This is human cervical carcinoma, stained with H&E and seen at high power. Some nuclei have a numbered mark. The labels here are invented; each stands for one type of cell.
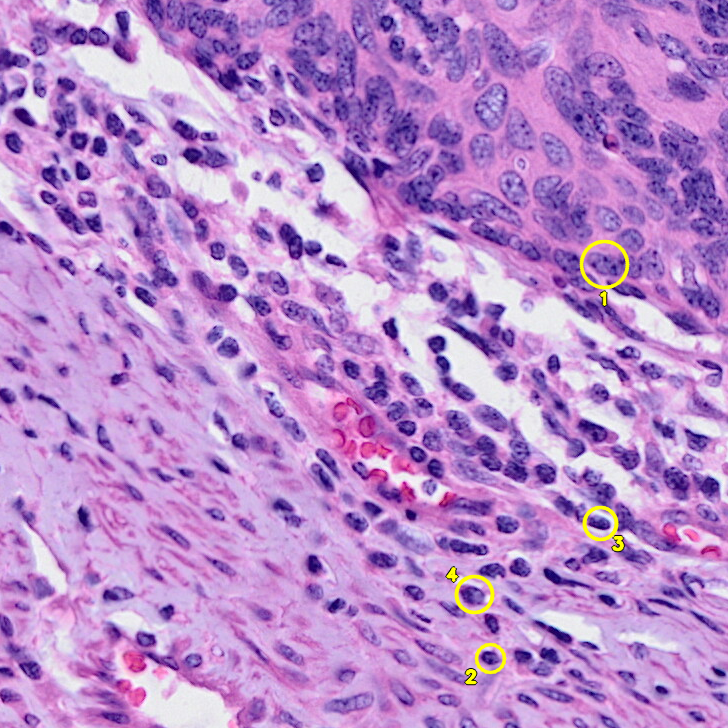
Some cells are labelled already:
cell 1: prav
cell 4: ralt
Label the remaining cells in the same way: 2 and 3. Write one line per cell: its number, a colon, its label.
2: ralt
3: ralt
